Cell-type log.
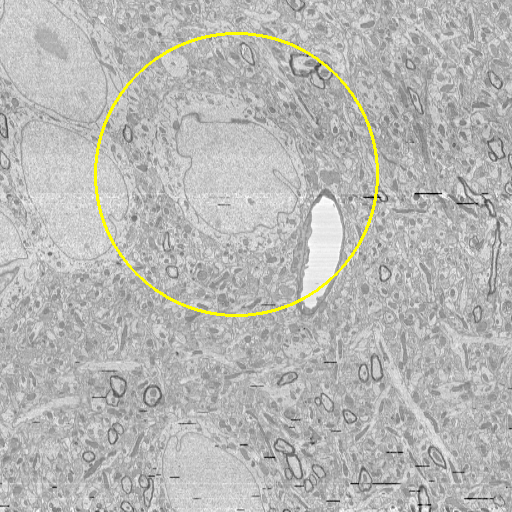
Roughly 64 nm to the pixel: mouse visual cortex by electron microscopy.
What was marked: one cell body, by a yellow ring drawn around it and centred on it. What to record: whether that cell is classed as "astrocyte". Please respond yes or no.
No, the cell belongs to another class.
